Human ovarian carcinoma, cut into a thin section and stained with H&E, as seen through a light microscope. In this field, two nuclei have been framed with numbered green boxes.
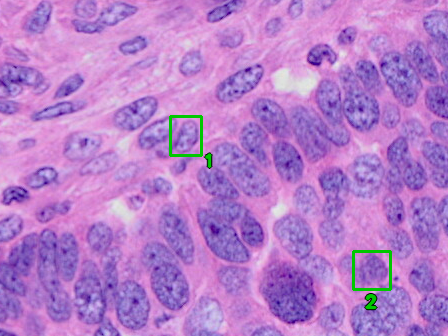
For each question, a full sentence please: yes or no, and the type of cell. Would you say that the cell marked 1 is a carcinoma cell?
No, what is marked as number 1 is a fibroblast rather than a carcinoma cell.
